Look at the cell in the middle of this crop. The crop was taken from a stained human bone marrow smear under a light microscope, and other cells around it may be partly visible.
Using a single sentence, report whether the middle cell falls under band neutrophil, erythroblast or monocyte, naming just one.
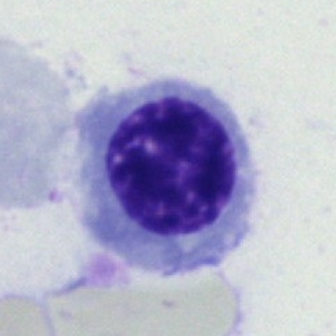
In the center of this field lies an erythroblast.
